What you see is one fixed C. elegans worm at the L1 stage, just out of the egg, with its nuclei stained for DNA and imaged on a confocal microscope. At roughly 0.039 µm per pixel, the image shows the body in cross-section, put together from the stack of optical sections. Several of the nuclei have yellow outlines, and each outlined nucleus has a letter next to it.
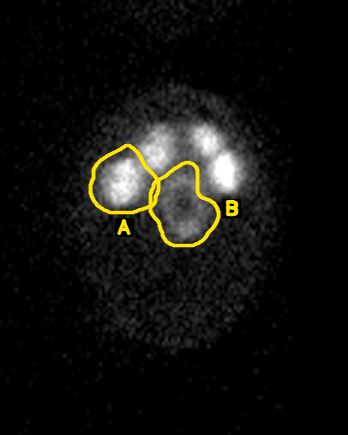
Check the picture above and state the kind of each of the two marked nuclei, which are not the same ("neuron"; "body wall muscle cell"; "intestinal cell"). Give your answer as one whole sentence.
A is from a neuron, and B is from an intestinal cell.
